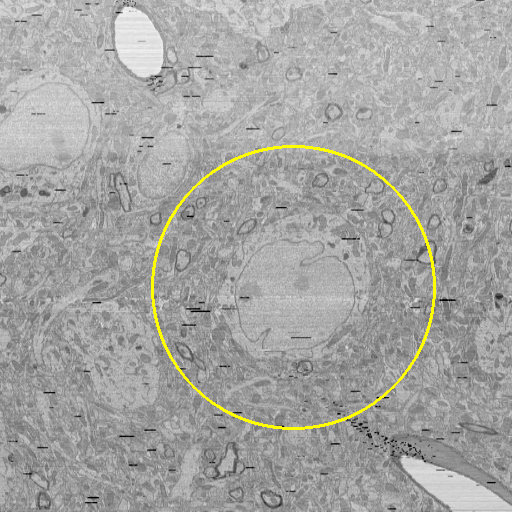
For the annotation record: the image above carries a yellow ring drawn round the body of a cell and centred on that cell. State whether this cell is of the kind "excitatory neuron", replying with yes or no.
Yes, this cell is of that kind.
